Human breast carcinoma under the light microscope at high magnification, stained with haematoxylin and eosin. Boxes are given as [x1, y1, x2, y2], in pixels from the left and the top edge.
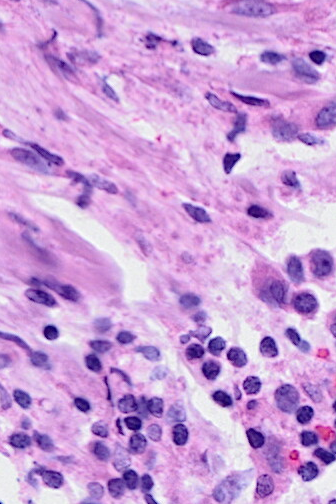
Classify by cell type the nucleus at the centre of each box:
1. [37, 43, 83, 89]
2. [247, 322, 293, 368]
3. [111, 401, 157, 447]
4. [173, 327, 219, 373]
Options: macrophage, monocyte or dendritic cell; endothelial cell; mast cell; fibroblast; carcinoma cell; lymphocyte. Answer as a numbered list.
1. fibroblast
2. lymphocyte
3. lymphocyte
4. lymphocyte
